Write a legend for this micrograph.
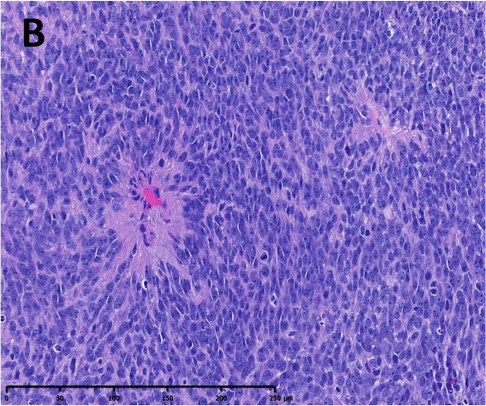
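This is a densely cellular ependymoma made of small tumor cells with oval, darkly stained nuclei and scant pink cytoplasm. The cells gather radially around small vessels, leaving a pink, fibrillary, nucleus-free halo around each vessel, forming pseudorosettes.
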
